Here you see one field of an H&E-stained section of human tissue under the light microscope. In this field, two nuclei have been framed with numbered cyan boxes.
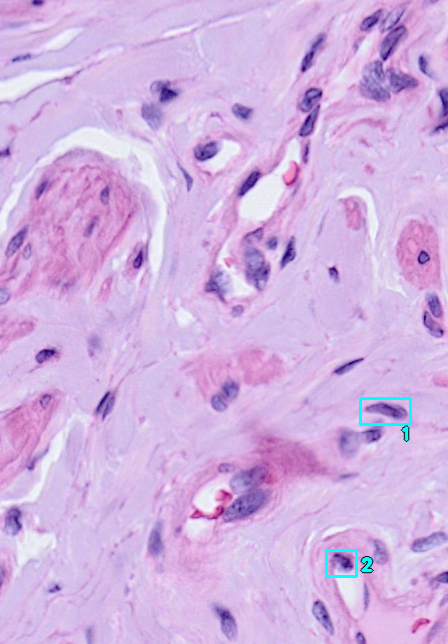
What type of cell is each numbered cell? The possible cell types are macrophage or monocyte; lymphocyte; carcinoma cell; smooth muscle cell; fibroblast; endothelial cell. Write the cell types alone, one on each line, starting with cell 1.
fibroblast
endothelial cell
